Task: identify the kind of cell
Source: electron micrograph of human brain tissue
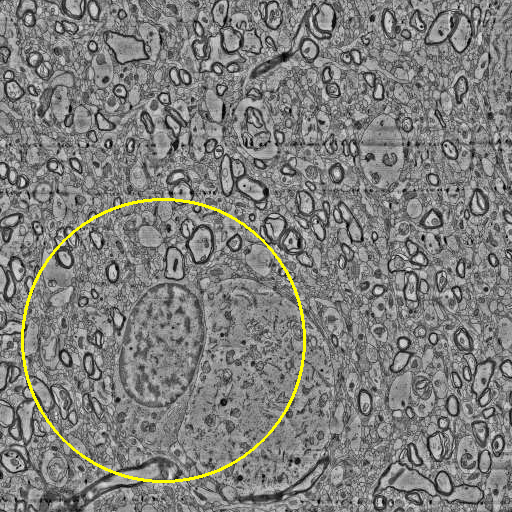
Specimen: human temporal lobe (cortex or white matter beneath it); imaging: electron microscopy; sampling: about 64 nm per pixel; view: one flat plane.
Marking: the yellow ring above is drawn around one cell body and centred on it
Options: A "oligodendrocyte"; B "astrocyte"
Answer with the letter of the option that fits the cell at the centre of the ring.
A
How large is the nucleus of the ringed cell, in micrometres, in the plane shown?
About 8 by 5 micrometres; in this plane the nucleus is clearly longer than it is wide.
